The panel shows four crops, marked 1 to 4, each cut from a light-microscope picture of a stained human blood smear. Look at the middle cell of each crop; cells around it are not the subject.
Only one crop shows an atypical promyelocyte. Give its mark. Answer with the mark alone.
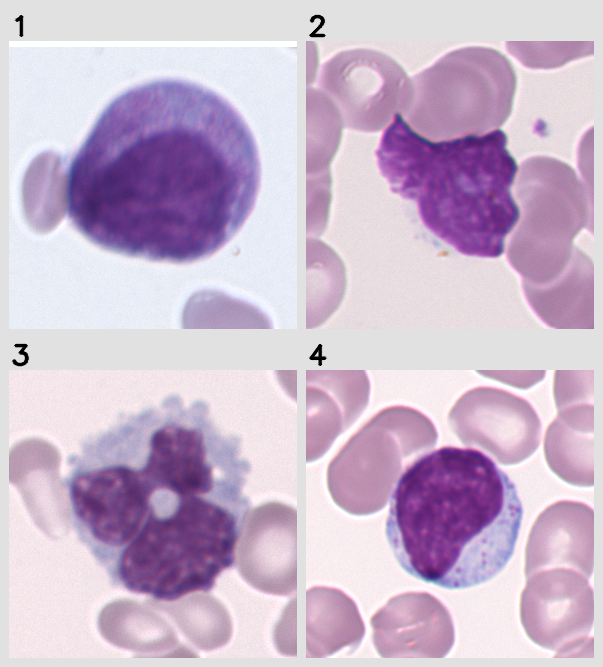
1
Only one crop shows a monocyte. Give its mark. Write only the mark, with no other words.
3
